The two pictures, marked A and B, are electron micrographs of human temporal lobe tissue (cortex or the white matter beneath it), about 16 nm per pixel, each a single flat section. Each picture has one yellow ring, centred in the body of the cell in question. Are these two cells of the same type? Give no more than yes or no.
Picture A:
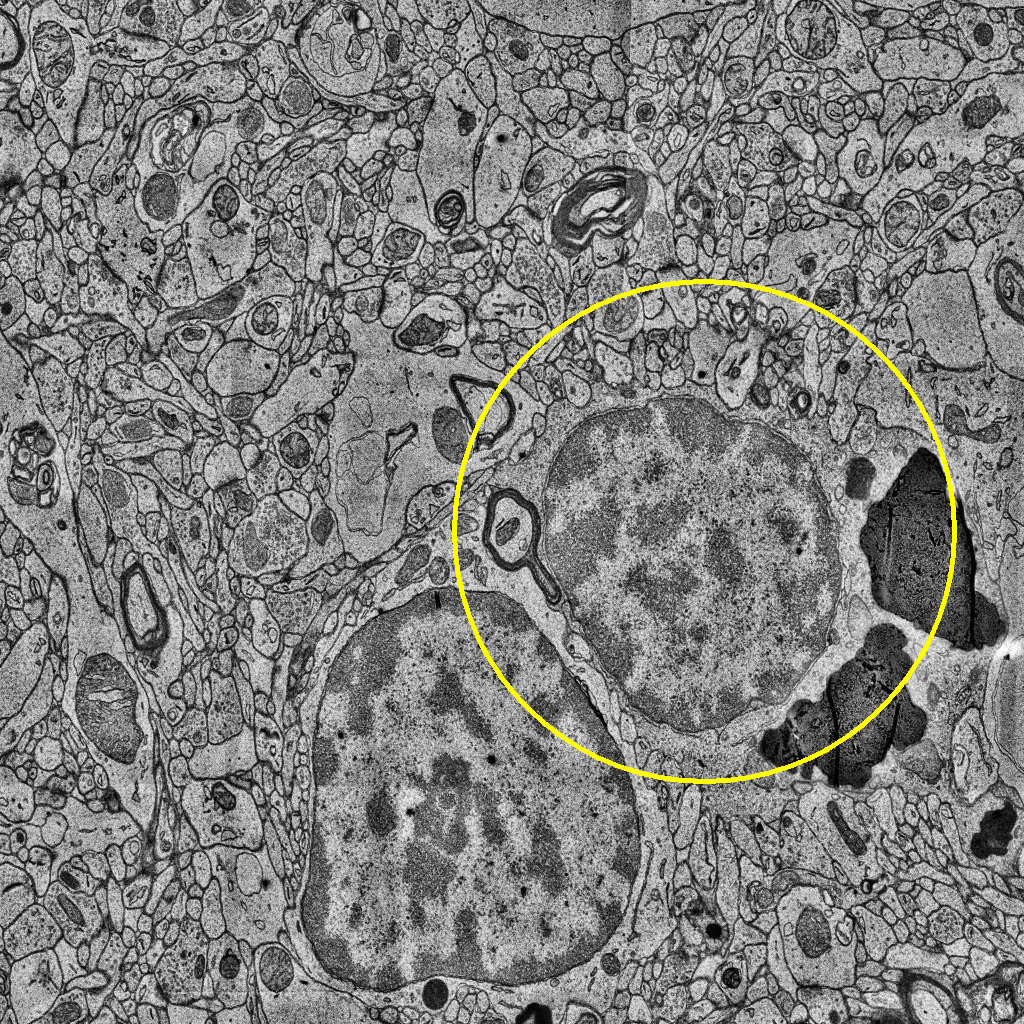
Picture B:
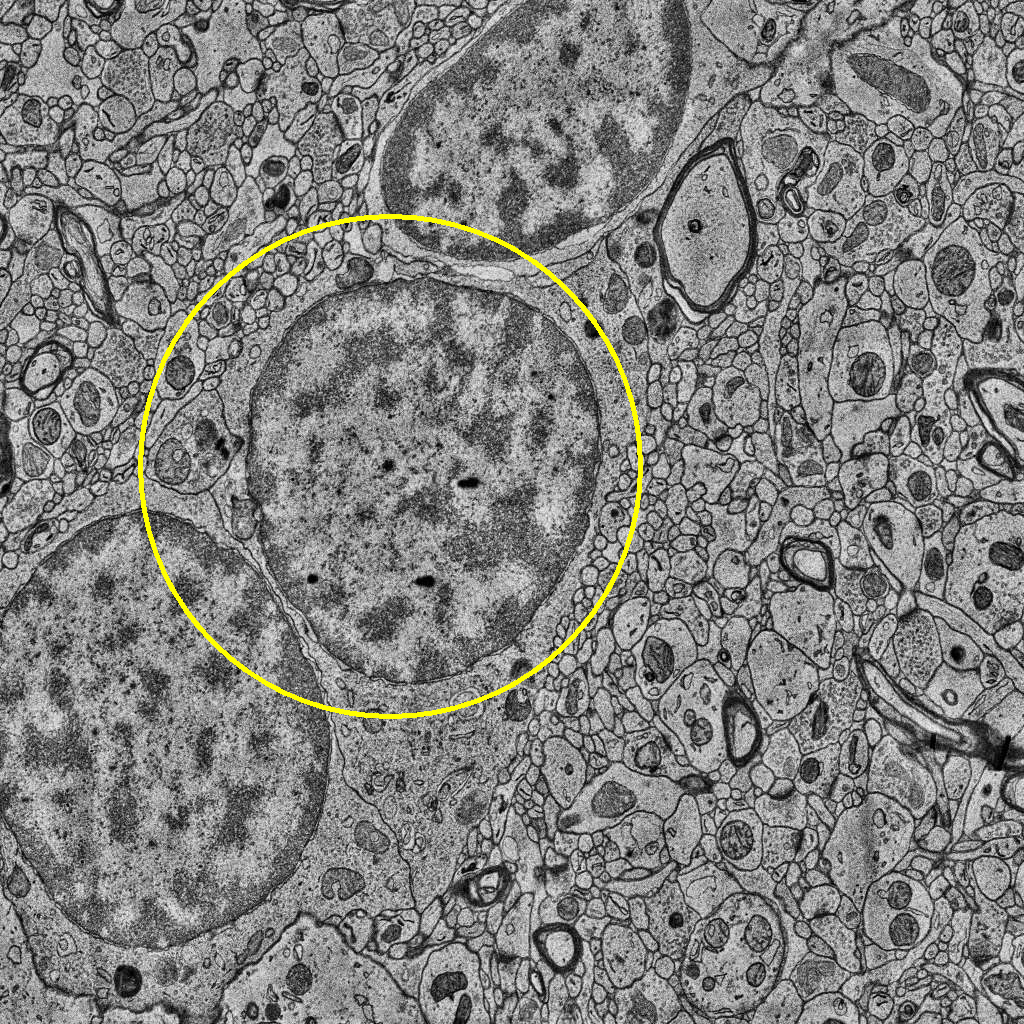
yes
